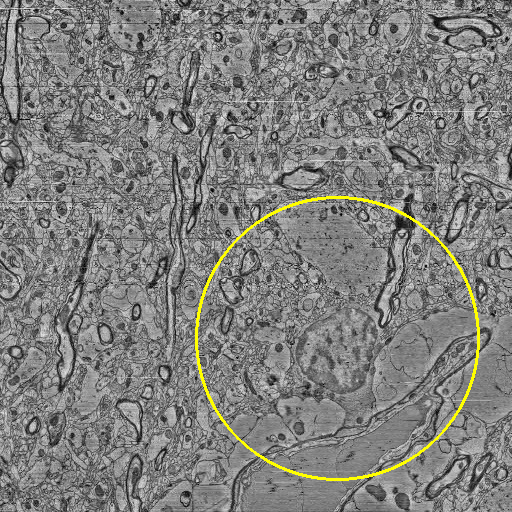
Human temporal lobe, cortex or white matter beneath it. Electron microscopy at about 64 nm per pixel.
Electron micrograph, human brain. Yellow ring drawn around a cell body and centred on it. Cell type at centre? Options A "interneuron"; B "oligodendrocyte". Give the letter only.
B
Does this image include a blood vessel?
Yes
